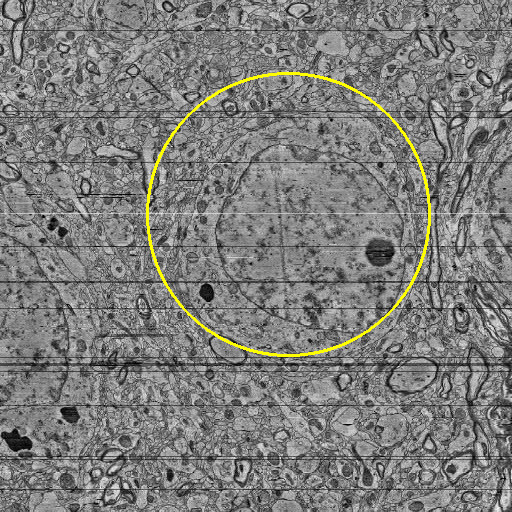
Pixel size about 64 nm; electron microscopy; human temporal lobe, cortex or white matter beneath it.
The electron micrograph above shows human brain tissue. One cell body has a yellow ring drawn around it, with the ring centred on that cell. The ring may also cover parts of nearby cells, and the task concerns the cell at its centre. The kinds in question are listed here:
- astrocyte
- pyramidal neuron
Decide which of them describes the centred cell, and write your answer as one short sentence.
The centred cell is a pyramidal neuron.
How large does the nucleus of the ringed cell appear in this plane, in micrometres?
The nucleus of the ringed cell is approximately 13 micrometres across in this plane.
